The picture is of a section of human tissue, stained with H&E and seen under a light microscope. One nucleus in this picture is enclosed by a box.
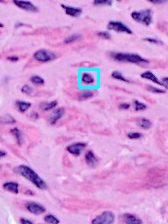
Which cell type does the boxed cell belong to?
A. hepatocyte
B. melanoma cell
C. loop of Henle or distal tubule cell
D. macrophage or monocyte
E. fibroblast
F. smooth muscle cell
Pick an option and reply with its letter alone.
F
